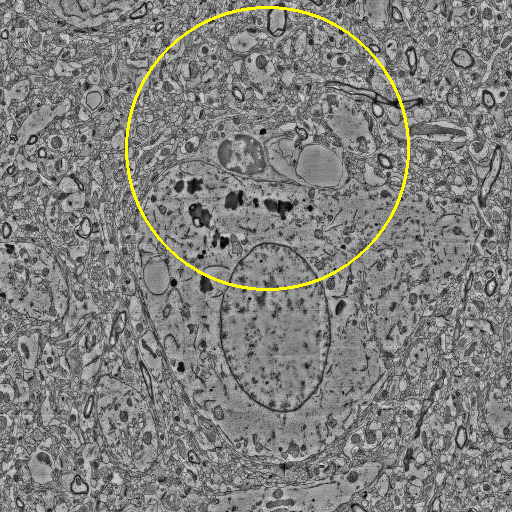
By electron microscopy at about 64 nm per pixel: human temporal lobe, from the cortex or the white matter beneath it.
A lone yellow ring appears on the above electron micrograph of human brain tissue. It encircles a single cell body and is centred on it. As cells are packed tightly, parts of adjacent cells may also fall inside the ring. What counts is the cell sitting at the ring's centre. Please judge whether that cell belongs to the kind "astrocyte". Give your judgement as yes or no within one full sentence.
No, the cell lying at the centre of the ring in the picture belongs to another kind.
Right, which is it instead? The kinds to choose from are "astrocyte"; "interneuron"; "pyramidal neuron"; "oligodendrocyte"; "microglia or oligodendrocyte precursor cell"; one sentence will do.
The cell in the ring is a microglial cell or oligodendrocyte precursor cell instead.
